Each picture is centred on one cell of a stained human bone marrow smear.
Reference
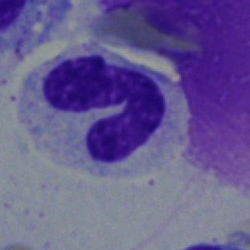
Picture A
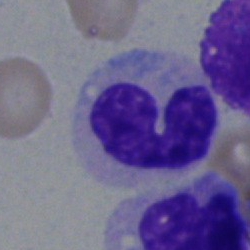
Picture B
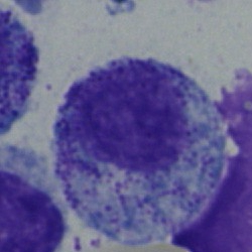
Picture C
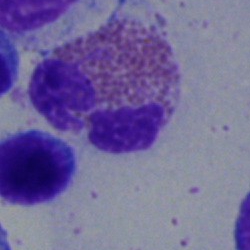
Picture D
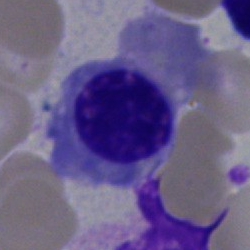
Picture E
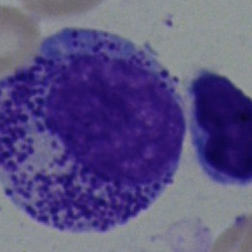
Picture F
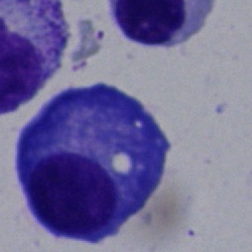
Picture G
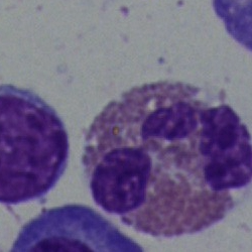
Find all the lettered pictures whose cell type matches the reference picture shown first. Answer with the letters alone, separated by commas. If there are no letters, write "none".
A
